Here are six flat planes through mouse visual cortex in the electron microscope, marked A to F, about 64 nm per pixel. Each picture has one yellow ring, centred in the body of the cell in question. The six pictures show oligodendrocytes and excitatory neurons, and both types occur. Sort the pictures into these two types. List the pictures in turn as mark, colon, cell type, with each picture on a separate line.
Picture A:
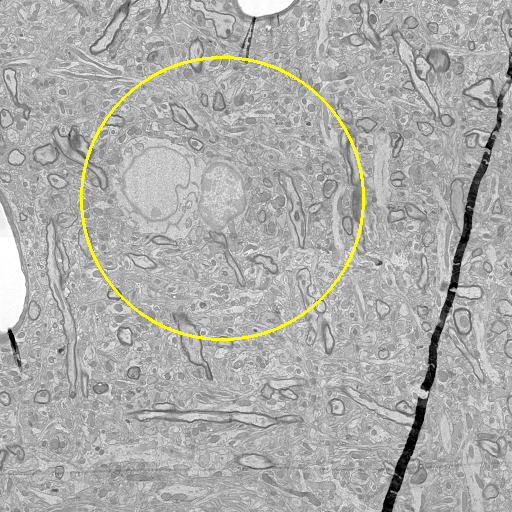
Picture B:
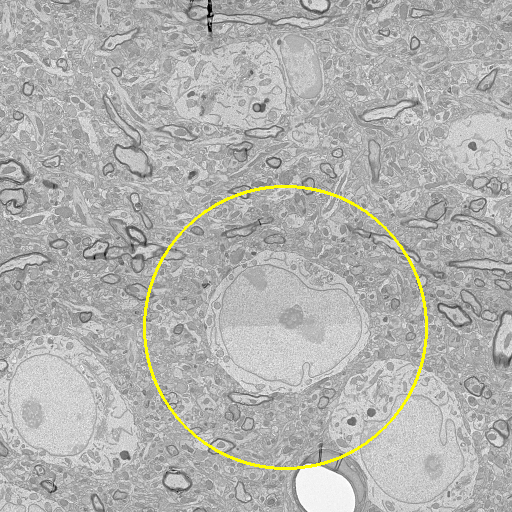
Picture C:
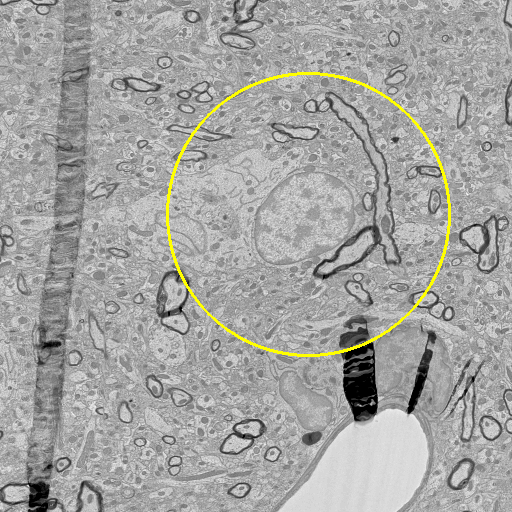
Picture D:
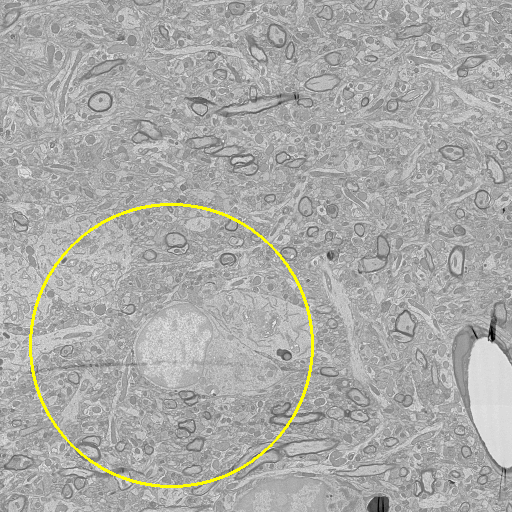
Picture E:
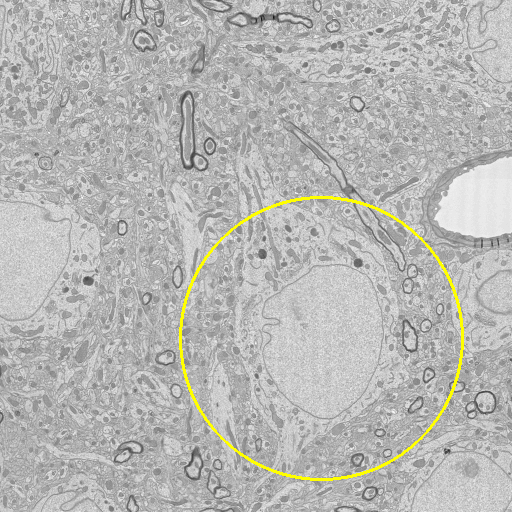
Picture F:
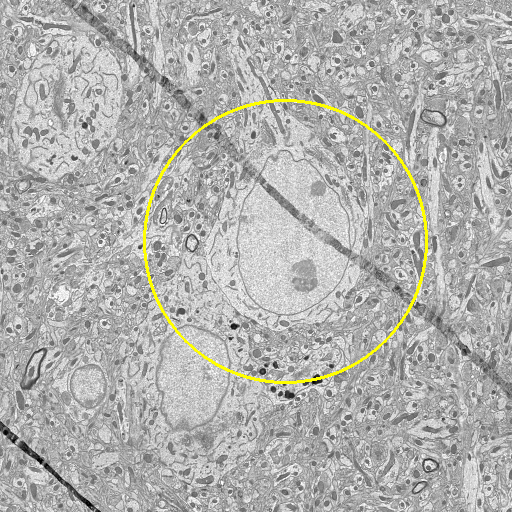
A: oligodendrocyte
B: excitatory neuron
C: oligodendrocyte
D: oligodendrocyte
E: excitatory neuron
F: excitatory neuron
